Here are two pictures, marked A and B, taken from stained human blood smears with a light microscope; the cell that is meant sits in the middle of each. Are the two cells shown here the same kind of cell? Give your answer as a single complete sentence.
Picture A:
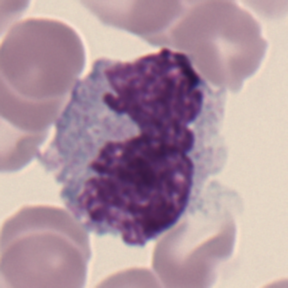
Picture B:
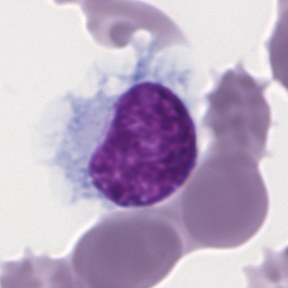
No. Picture A shows a monocyte, but picture B shows a hairy cell.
